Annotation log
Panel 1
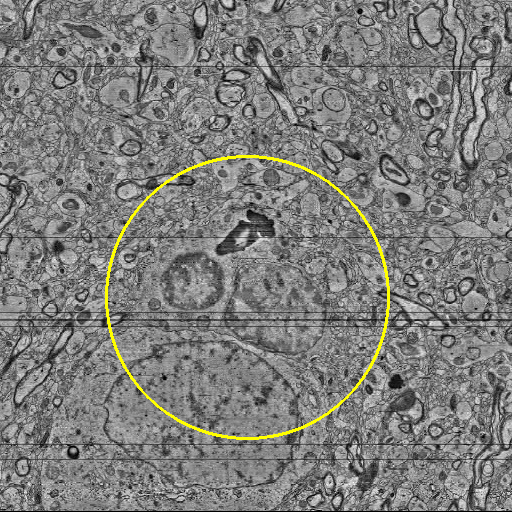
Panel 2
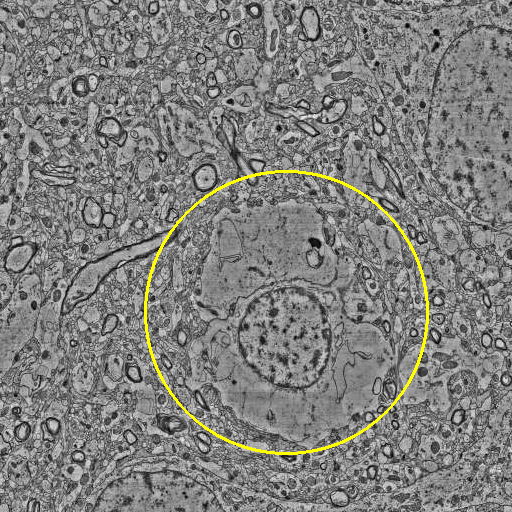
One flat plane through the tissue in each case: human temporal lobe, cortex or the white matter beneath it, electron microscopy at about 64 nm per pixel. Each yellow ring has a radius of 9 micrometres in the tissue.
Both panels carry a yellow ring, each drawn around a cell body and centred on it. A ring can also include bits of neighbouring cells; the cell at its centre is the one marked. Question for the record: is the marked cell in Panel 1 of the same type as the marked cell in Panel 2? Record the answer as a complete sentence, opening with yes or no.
No, the marked cells in Panel 1 and Panel 2 are of two types.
